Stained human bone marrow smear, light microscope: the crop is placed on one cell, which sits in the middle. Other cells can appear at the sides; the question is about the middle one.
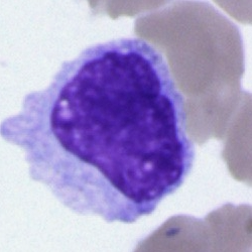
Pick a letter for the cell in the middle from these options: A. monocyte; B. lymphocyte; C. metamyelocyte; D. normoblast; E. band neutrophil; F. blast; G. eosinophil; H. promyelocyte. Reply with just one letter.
A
